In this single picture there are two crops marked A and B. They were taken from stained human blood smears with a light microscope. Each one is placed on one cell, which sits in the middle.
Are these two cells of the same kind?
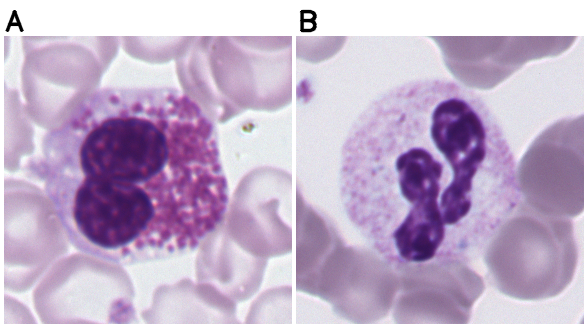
no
